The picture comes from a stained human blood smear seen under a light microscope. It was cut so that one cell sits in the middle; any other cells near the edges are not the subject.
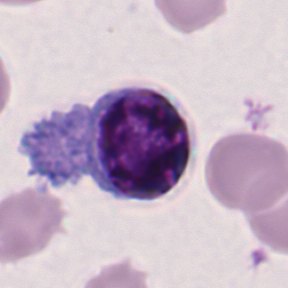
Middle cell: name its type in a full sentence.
The middle of this crop holds a plasma cell.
